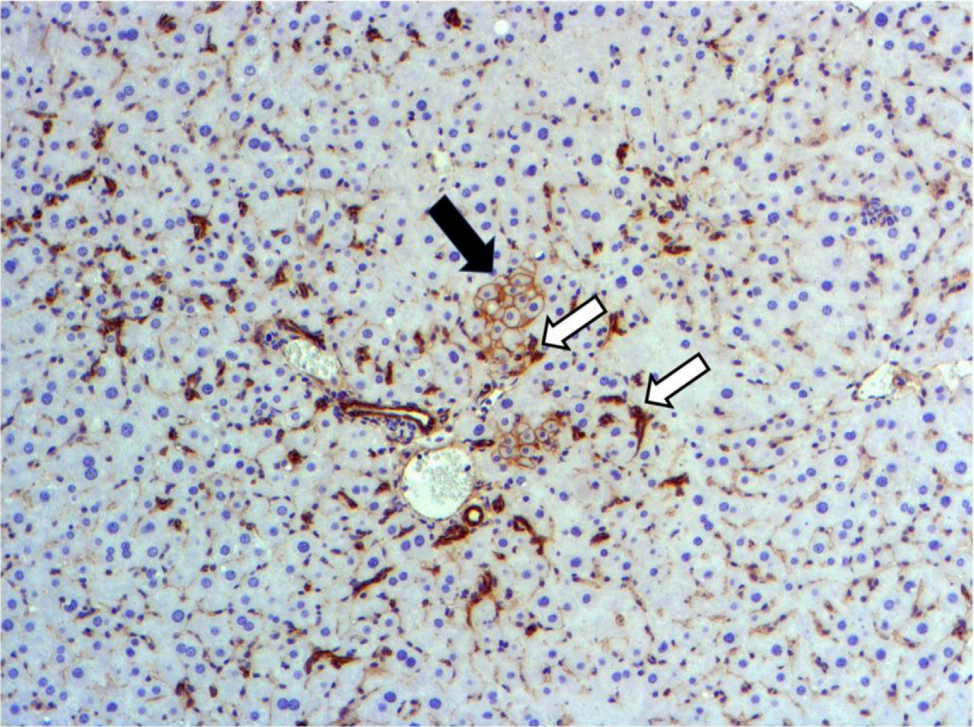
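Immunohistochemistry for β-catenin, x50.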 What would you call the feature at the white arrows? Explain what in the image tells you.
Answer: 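Ductular reaction. The white arrows point to small, elongated, strongly brown cells in strands and clusters. These brown strands lie near the vessels in the middle of the field.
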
